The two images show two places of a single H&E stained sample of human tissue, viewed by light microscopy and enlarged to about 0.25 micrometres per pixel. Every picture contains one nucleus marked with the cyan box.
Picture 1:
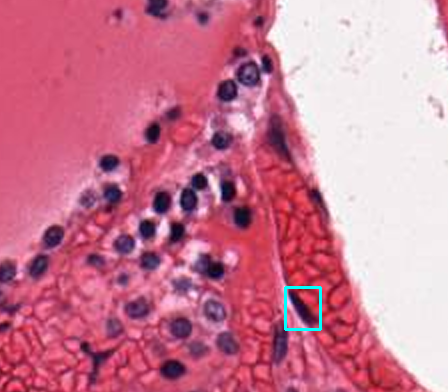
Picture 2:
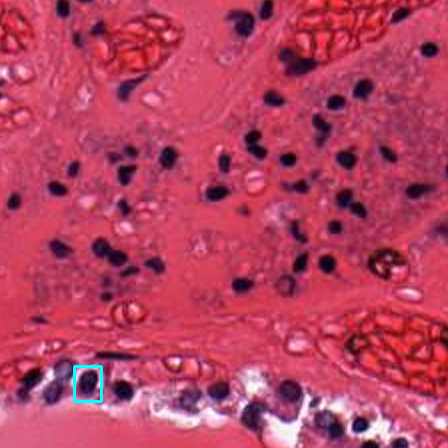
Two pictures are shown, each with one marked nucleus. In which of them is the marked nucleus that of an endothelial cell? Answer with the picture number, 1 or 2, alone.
1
